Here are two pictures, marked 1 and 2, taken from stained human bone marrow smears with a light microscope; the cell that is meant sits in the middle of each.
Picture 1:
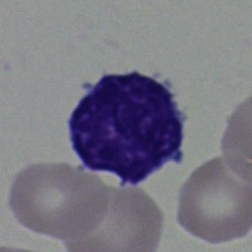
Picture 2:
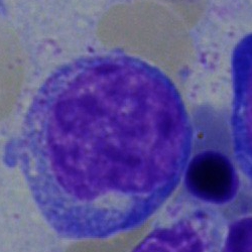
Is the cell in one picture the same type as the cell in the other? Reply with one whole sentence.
Yes, the two pictures both show blasts.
